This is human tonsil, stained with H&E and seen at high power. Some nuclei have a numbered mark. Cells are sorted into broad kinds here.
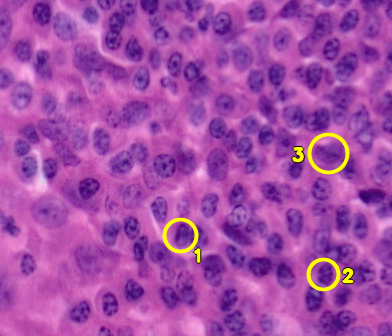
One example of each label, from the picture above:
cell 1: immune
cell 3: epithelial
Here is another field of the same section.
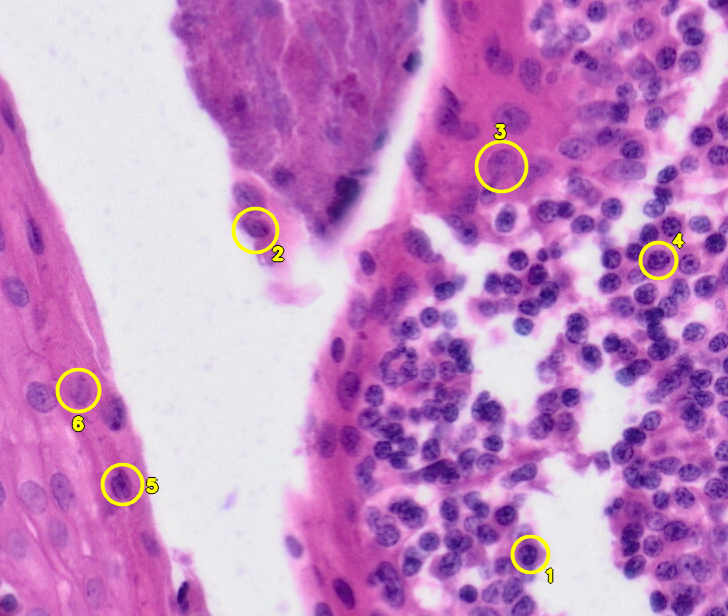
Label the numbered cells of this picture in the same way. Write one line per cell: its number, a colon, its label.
1: immune
2: epithelial
3: epithelial
4: immune
5: epithelial
6: epithelial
